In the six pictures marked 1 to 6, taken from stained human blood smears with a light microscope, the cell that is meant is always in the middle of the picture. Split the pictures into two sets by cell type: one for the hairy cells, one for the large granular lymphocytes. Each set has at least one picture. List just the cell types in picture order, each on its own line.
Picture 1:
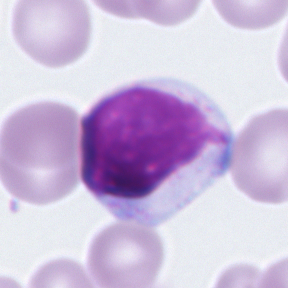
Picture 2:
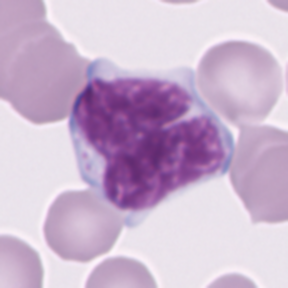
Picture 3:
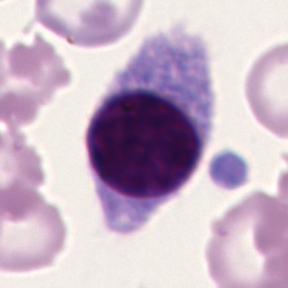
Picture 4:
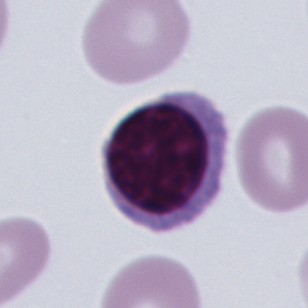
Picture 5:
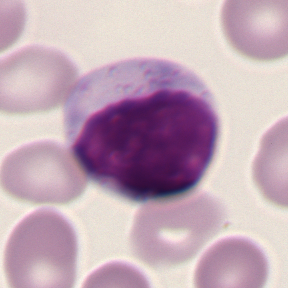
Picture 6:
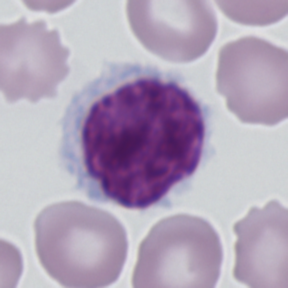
large granular lymphocyte
large granular lymphocyte
hairy cell
large granular lymphocyte
large granular lymphocyte
hairy cell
